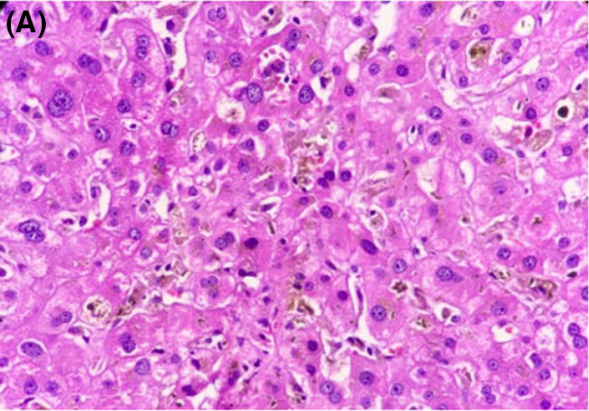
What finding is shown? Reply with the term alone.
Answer: Cholestasis with bile pigment deposition in hepatocytes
